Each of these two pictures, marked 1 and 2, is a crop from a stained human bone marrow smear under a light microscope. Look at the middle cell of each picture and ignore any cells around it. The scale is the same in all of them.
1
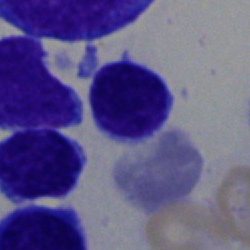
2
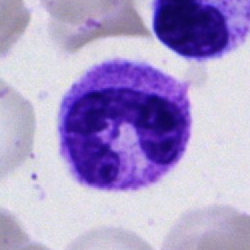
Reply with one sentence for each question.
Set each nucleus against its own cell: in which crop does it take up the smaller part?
In picture 2 the nucleus takes up the smaller part of its cell.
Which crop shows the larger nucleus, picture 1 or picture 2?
Larger is the nucleus in picture 2, at roughly 1.5 times the area of the other.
